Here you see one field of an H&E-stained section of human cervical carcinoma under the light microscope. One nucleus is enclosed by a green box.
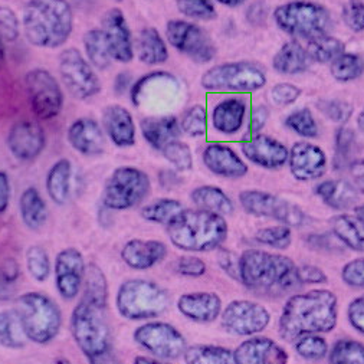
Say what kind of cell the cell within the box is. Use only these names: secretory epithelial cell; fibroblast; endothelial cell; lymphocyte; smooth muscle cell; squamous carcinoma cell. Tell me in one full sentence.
Placed in its cell category, the cell within the box is a squamous carcinoma cell.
